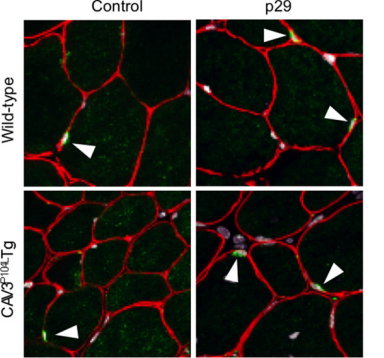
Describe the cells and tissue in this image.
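These are cross-sections of skeletal muscle in which large polygonal fibers are each outlined by a thin red border. Gray nuclei lie mostly at the edges of the fibers, pressed against the red outlines. Here and there a small cell with green staining sits at the rim of a fiber, and arrowheads mark several of these. Their small size and place at the fiber surface, tucked against the red border, fit satellite cells lying beside the muscle fibers. In the lower row the fibers are more varied in size, with some small ones among larger ones.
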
